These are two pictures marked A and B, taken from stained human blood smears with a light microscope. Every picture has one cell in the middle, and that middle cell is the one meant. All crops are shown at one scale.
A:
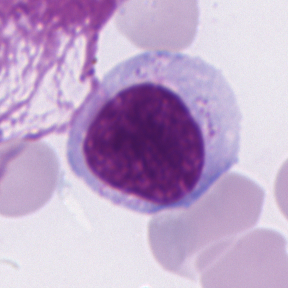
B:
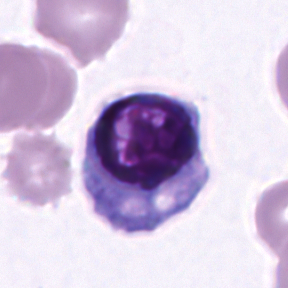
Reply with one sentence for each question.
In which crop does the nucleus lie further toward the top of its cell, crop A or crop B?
It is the nucleus in crop B that lies further toward the top of its cell.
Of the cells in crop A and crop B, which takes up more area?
Crop A holds the larger cell; it covers about 1.5 times the area of the cell in crop B.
